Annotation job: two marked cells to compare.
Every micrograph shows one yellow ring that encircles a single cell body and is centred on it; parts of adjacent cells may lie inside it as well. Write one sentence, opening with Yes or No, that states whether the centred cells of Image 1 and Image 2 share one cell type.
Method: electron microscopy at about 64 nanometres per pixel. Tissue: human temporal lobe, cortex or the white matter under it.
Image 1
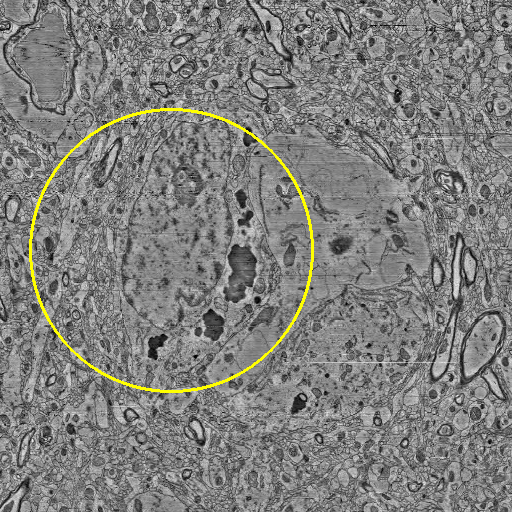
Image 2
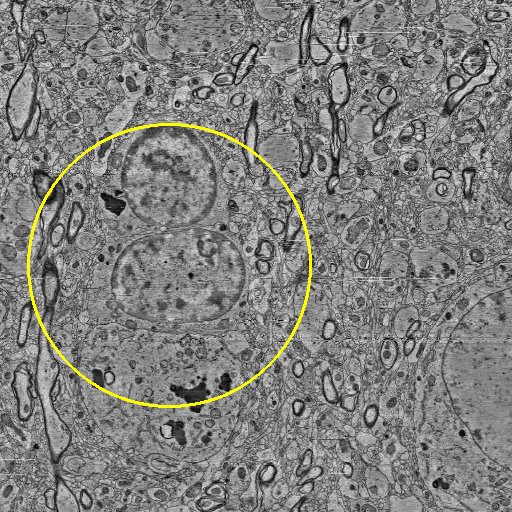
No, the cell centred in Image 1 and the cell centred in Image 2 are of two types.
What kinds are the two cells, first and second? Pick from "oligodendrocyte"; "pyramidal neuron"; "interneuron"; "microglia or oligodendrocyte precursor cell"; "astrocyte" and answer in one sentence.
The second picture holds an oligodendrocyte in its ring, and the first holds an interneuron.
